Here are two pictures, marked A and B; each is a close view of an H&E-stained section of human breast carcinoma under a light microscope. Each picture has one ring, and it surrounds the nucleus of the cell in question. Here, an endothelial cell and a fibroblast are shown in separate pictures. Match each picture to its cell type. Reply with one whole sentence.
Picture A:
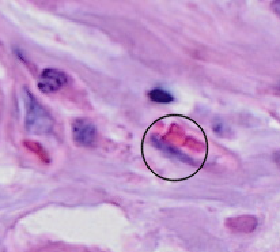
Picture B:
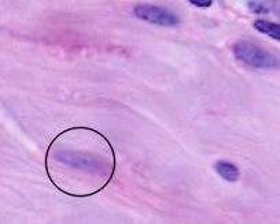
Picture A shows an endothelial cell and picture B shows a fibroblast.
